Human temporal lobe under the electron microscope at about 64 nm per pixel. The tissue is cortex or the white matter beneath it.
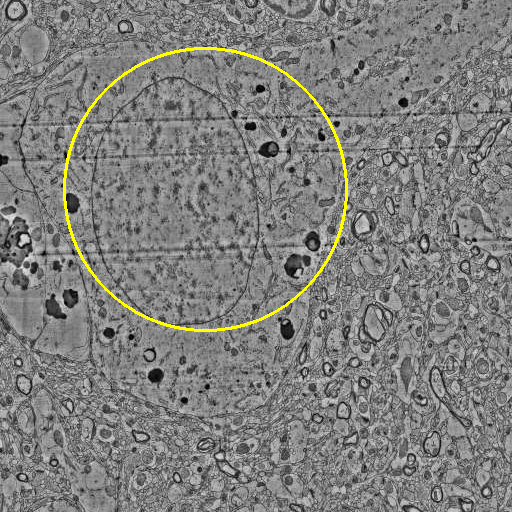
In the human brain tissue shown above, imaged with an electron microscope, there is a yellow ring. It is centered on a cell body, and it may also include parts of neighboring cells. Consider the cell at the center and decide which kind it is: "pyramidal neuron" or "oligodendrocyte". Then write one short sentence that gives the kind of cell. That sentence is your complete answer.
This centered cell body is that of a pyramidal neuron.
